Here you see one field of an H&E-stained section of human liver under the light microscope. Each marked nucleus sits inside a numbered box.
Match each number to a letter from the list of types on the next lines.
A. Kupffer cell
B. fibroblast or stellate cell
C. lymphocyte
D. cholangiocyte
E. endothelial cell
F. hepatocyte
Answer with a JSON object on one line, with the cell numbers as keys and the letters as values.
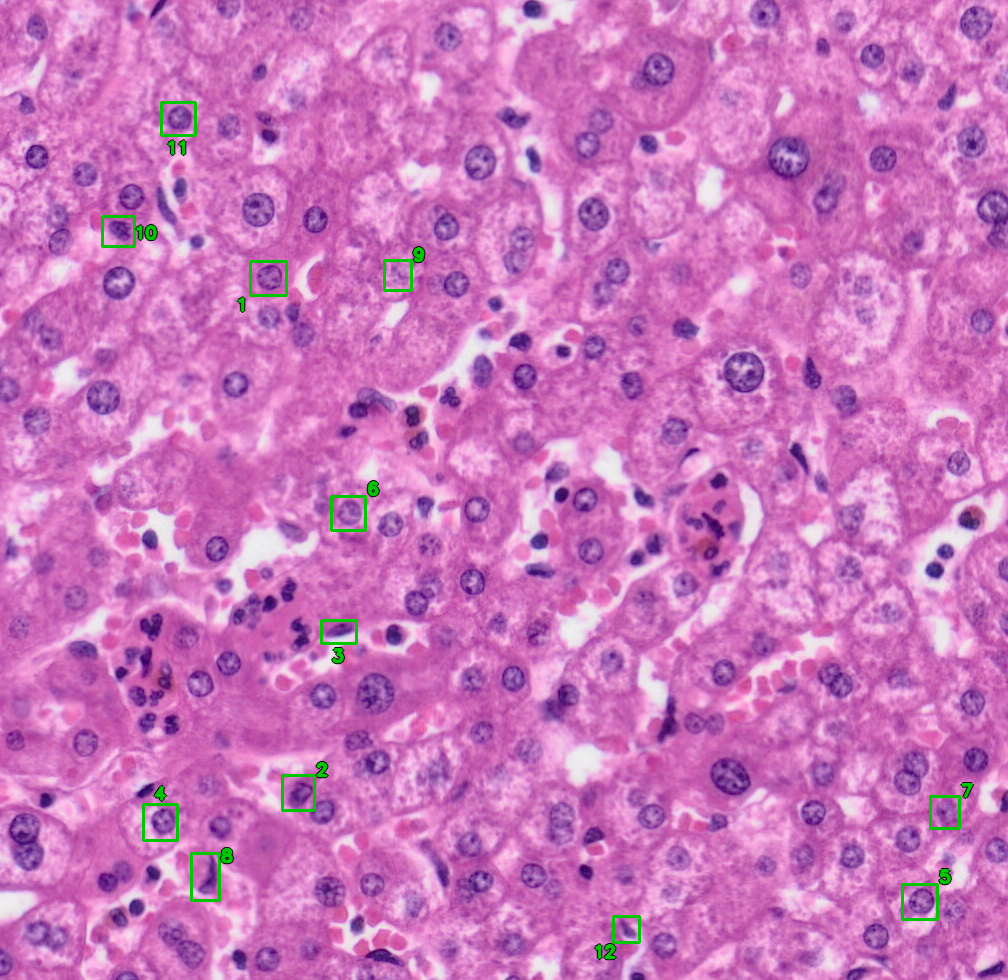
{"1": "F", "2": "A", "3": "E", "4": "F", "5": "F", "6": "F", "7": "F", "8": "A", "9": "F", "10": "B", "11": "F", "12": "E"}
